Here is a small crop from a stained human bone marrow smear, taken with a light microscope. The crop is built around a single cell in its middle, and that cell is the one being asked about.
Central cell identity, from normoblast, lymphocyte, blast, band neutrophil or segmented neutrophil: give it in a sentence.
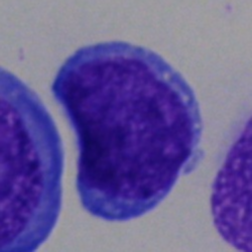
The cell in the middle of the field of view is a blast.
